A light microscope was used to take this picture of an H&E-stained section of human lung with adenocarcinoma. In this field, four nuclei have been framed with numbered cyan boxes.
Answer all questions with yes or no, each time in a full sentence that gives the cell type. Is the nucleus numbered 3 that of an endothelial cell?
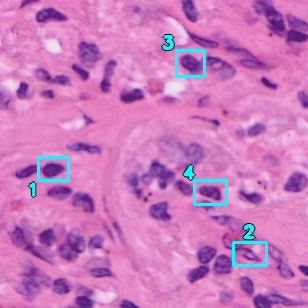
No, the cell indicated by 3 is a lymphocyte instead of an endothelial cell.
